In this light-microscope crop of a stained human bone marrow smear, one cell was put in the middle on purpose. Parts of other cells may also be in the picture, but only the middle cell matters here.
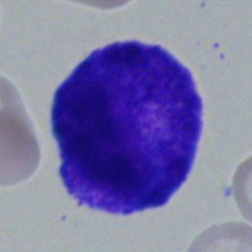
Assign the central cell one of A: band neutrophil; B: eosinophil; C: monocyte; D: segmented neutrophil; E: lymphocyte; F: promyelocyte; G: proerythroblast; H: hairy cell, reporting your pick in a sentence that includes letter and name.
Option F is correct; the cell in the middle is a promyelocyte.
